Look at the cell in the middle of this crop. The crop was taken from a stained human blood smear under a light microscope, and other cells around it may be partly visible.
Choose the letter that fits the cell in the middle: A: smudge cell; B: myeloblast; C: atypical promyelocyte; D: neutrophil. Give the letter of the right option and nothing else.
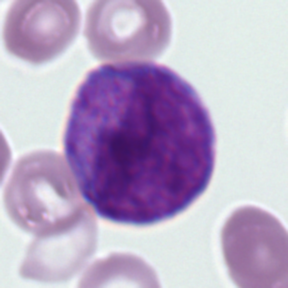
C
